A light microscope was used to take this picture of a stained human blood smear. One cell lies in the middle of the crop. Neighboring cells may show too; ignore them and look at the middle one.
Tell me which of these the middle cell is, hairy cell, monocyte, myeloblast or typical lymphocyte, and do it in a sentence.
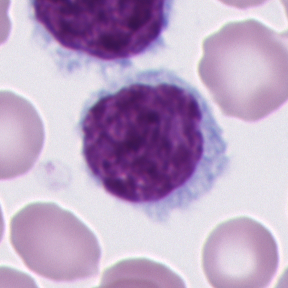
To answer, the cell in the center of the crop is a hairy cell.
